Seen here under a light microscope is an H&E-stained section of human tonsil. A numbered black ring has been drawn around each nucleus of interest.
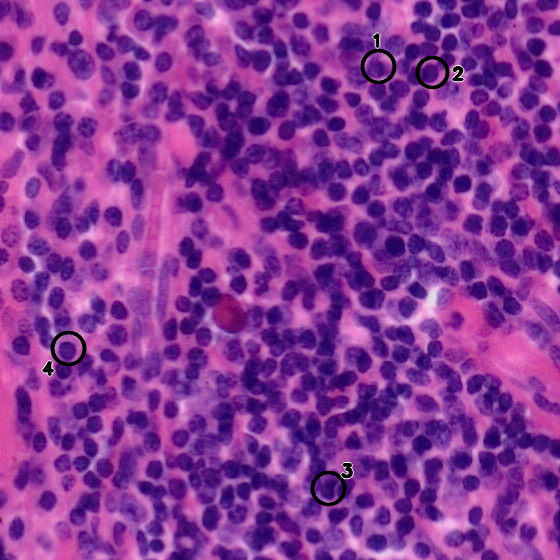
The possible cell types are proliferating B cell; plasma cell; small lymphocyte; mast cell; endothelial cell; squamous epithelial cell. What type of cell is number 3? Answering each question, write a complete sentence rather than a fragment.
Cell 3, among those numbered, is a small lymphocyte.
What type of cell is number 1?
Denoted by the label 1 in the section is a small lymphocyte.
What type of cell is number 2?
In this section, the cell numbered 2 is a small lymphocyte.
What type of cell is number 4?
The cell indicated by marker 4 is a plasma cell in this section.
